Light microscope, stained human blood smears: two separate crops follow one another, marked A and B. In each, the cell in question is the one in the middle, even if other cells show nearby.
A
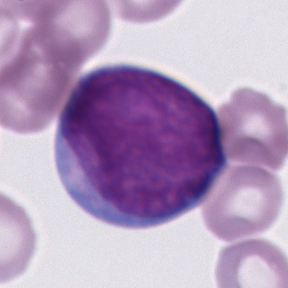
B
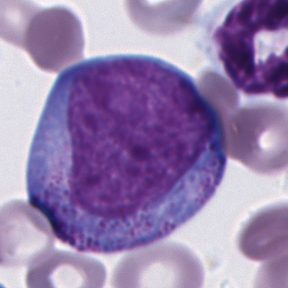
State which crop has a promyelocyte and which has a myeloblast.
A: myeloblast
B: promyelocyte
